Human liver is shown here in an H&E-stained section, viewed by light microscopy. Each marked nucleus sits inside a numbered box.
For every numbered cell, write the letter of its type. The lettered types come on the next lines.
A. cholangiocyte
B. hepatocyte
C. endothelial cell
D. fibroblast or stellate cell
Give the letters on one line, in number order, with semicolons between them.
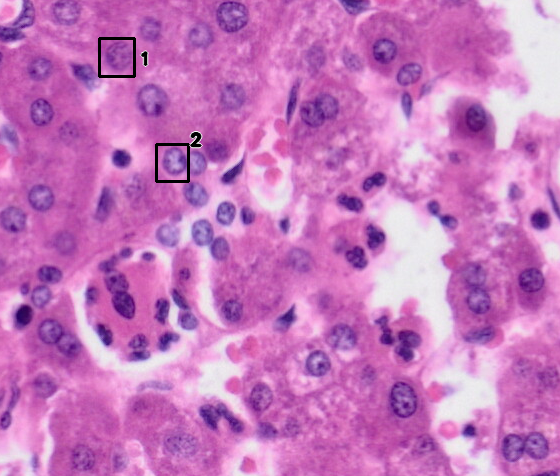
B; A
